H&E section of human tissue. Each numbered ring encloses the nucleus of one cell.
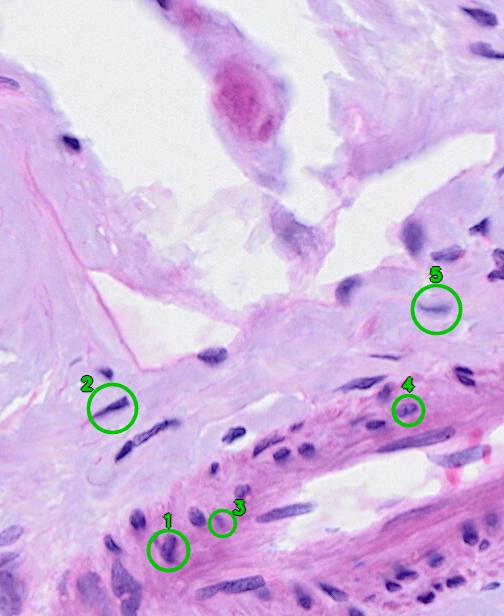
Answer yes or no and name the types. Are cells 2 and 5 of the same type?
Yes, both cell 2 and cell 5 count among the fibroblasts.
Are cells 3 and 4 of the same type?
Yes, sure, cells 3 and 4 are both smooth muscle cells.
